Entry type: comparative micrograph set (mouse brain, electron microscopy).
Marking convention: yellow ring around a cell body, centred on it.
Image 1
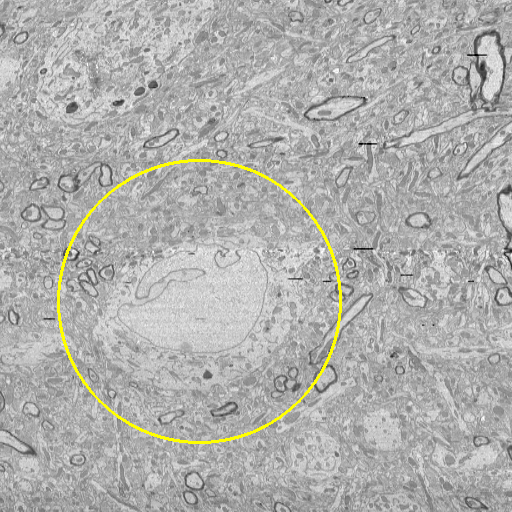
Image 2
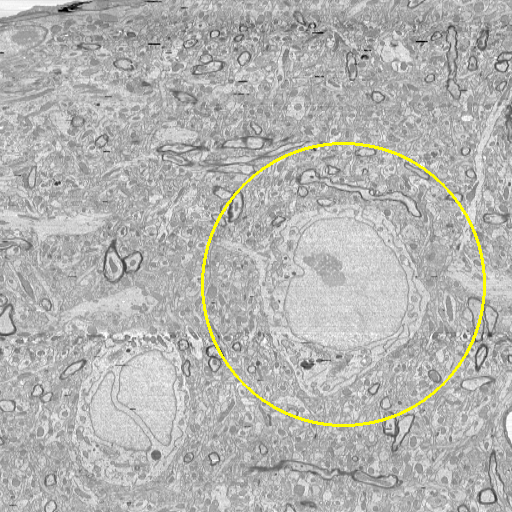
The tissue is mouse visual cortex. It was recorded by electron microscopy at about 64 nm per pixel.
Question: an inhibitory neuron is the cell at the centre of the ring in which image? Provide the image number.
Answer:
2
